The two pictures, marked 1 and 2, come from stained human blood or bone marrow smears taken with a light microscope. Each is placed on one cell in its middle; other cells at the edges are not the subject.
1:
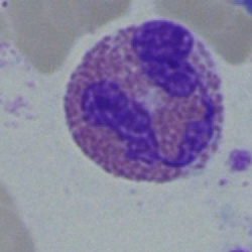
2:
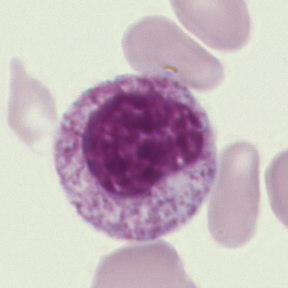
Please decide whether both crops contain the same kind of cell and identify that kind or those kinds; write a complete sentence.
No, crop 2 shows a myelocyte, and crop 1 shows an eosinophil.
